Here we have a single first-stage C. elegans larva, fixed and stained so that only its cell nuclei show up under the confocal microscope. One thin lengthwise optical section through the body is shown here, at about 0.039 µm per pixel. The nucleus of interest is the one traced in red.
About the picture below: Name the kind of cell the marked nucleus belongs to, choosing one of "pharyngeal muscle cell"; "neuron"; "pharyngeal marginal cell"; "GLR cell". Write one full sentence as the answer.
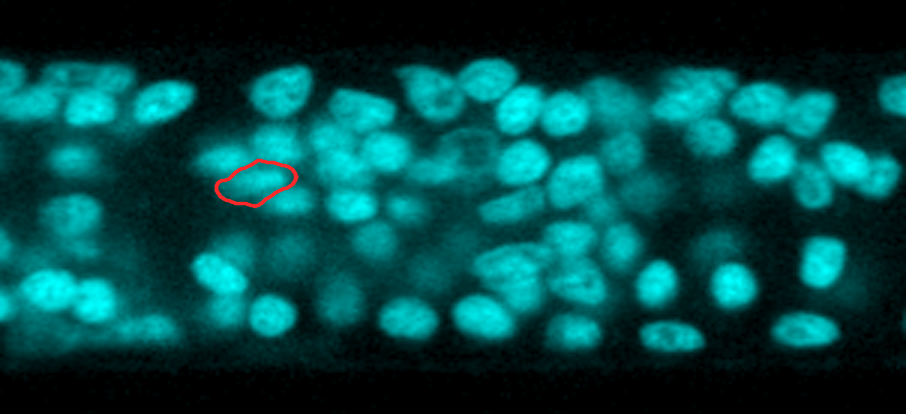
The marked nucleus belongs to a GLR cell.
